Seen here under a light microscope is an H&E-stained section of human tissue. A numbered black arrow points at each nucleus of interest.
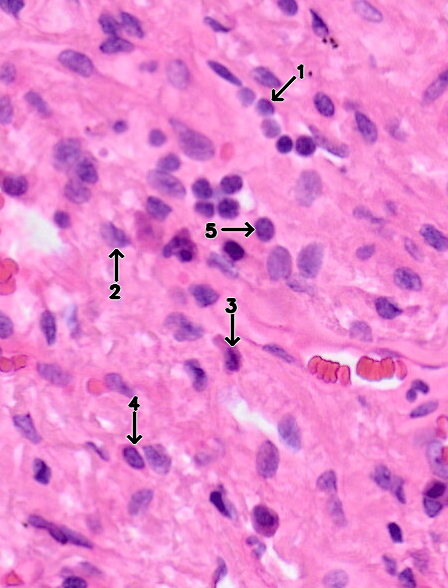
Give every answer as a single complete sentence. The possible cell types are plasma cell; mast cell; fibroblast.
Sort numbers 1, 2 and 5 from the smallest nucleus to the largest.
The order from the smallest nucleus to the largest is 1, 5, 2.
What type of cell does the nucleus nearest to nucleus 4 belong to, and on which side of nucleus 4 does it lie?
It is a fibroblast, whose nucleus lies to the right of nucleus 4.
